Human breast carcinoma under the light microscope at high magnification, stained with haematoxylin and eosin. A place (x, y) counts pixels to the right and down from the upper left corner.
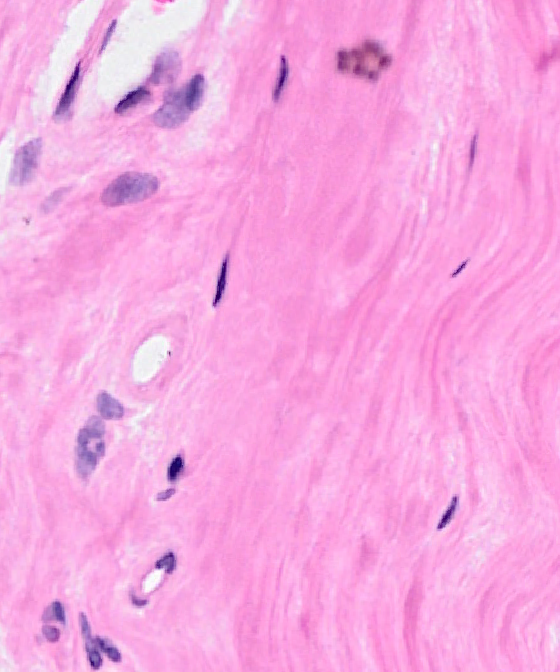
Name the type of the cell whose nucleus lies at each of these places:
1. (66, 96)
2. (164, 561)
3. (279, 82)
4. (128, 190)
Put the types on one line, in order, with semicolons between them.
endothelial cell; endothelial cell; fibroblast; fibroblast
